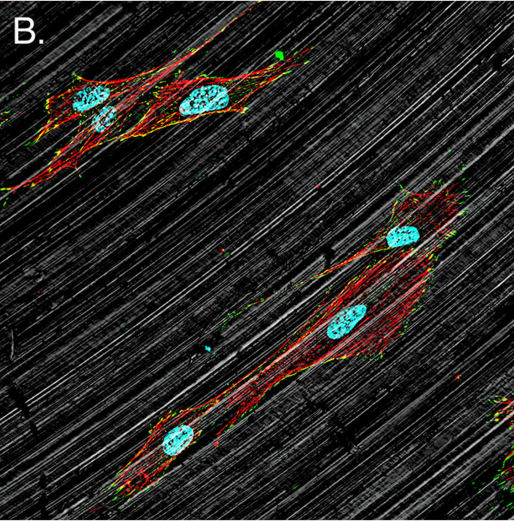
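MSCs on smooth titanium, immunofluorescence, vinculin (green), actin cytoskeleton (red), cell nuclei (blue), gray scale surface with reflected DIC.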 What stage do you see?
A: elongated spindle-shaped morphology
